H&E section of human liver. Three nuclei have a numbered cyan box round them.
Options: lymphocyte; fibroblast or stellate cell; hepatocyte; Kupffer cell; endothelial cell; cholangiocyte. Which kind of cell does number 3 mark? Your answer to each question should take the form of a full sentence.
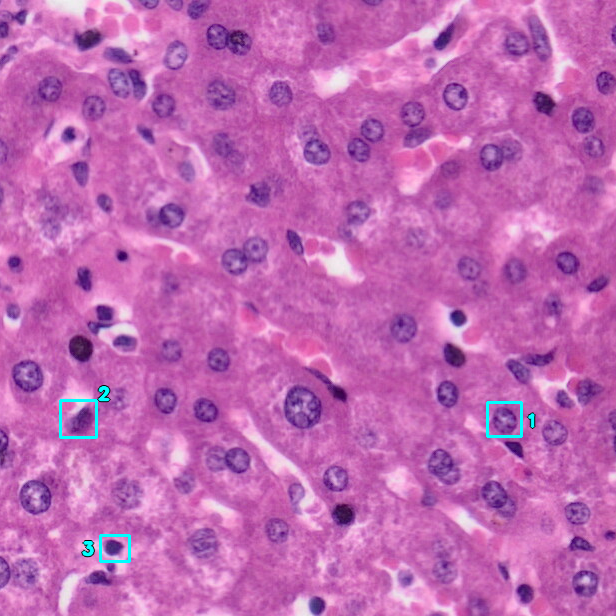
Here, the cell given the number 3 is a lymphocyte.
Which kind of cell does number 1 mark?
The marked cell bearing number 1 is a hepatocyte.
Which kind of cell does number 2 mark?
Heads up, the cell numbered 2 is an endothelial cell.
